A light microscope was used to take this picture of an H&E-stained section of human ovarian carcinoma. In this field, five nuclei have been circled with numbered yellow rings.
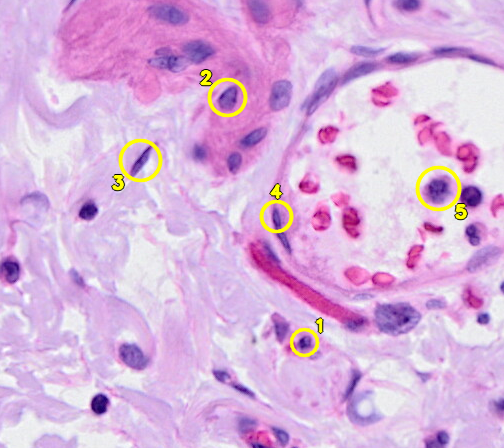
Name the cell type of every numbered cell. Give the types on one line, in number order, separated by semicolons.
endothelial cell; smooth muscle cell; fibroblast; endothelial cell; macrophage or monocyte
